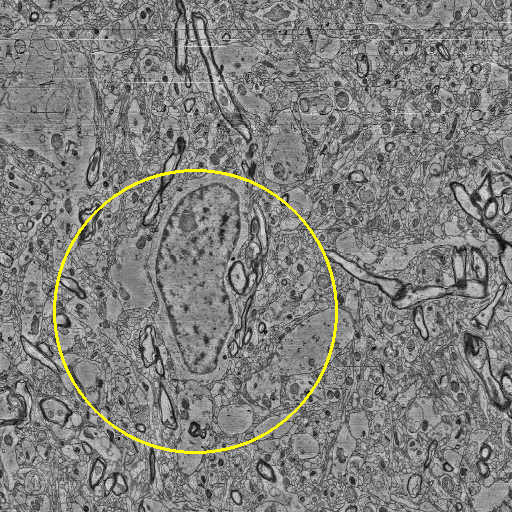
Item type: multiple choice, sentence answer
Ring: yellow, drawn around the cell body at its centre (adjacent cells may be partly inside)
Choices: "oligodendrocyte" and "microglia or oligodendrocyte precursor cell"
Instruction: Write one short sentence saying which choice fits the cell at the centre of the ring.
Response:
This ring is drawn around a microglial cell or oligodendrocyte precursor cell.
